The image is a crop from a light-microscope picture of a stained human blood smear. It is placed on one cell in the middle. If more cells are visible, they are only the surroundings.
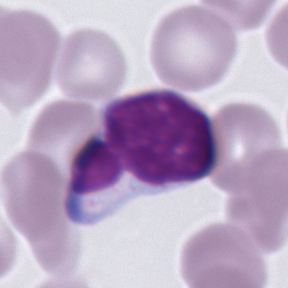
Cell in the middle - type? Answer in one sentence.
The single cell at the center of the crop is a large granular lymphocyte.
